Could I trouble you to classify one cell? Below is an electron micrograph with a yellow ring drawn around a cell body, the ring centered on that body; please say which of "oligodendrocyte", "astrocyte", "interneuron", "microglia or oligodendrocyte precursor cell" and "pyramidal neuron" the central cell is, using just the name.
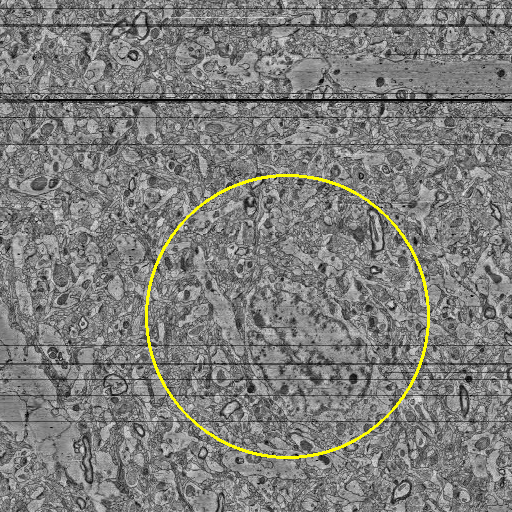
interneuron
